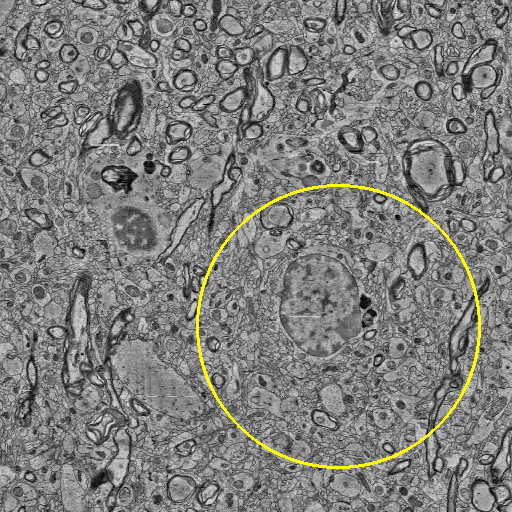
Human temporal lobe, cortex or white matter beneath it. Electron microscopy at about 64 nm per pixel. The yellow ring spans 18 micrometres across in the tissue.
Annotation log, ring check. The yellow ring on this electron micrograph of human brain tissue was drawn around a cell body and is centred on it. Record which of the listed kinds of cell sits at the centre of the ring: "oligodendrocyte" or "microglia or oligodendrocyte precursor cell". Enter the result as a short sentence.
The cell at the centre of the ring is a microglial cell or oligodendrocyte precursor cell.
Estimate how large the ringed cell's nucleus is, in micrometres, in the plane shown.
In this plane the nucleus spans approximately 7 by 6 micrometers.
